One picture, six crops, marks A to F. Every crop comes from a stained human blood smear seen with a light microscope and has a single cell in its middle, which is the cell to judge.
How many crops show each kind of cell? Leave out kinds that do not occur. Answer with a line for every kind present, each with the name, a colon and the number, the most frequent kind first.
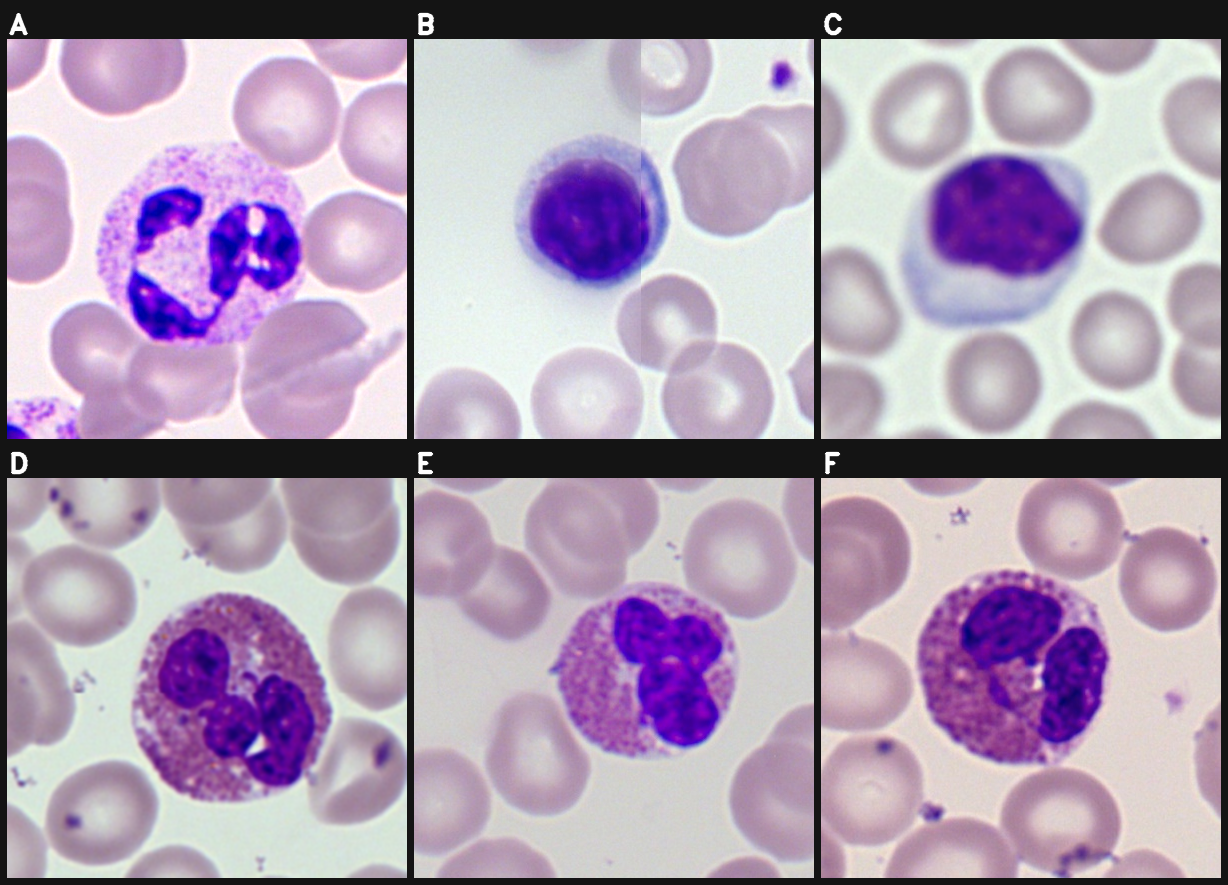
eosinophil: 3
lymphocyte: 2
neutrophil: 1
